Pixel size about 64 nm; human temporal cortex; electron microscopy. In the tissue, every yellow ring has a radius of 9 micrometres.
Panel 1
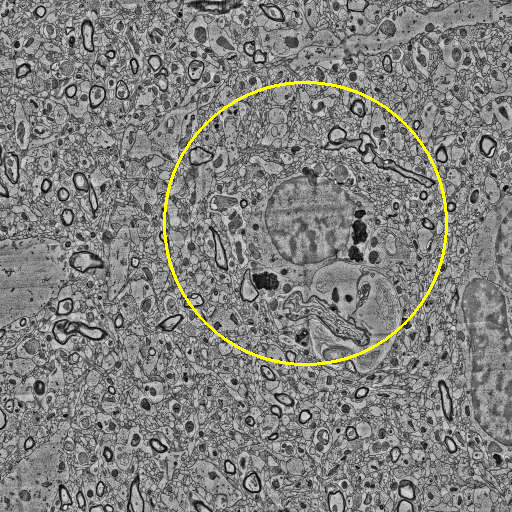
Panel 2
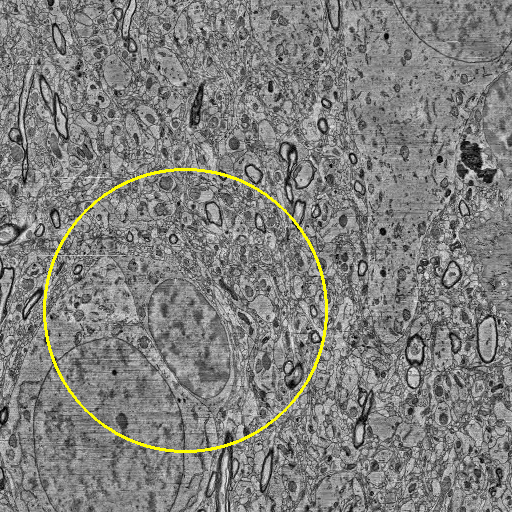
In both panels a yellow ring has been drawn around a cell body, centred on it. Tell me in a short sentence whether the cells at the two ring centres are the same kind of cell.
Yes, they are the same kind of cell.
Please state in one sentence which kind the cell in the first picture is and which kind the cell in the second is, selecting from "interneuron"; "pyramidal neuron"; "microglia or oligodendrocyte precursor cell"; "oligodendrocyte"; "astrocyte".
In the first picture and in the second, the ring is centred on an oligodendrocyte.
